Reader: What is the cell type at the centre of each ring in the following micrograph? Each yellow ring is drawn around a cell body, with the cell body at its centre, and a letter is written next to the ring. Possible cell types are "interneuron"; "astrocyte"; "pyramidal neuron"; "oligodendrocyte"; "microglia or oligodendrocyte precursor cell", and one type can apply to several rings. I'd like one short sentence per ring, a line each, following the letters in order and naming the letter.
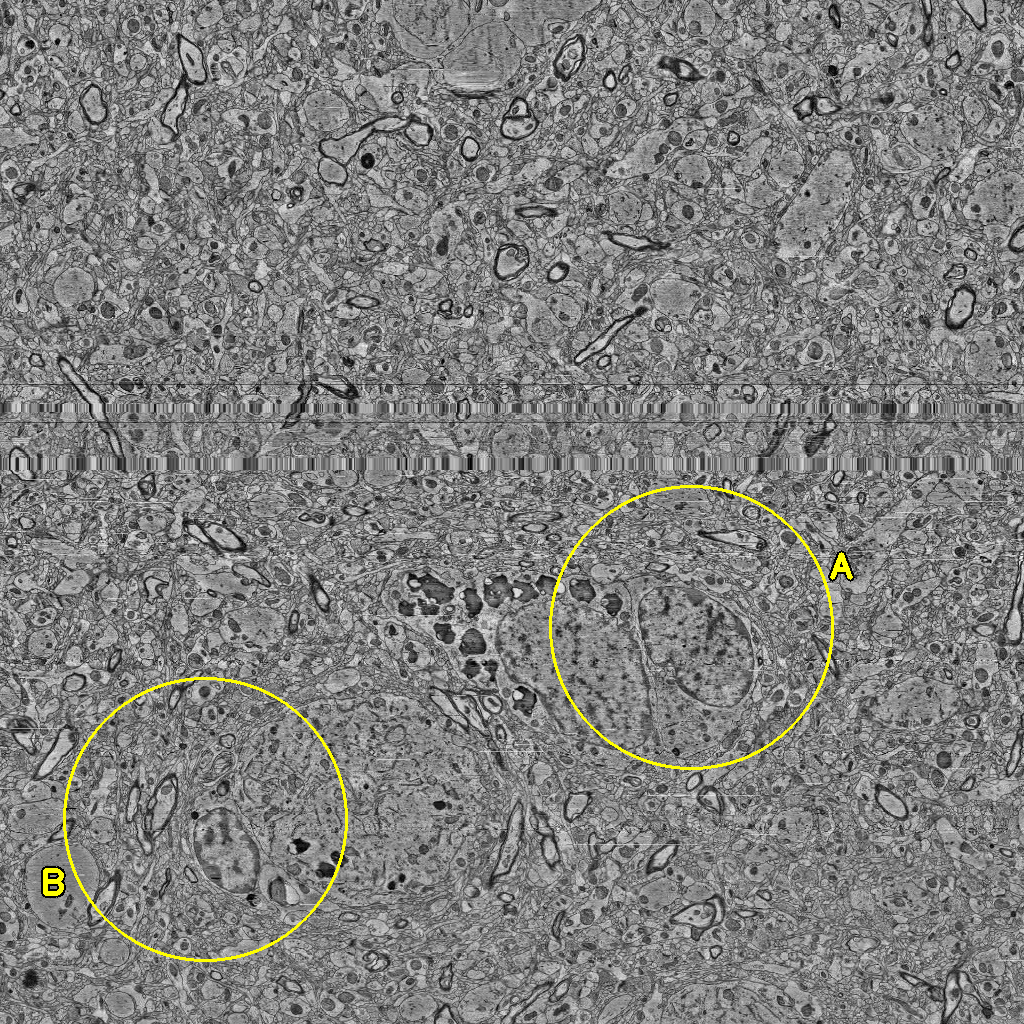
The cell body at the centre of ring A is that of a microglial cell or oligodendrocyte precursor cell.
The cell body at the centre of ring B is that of a microglial cell or oligodendrocyte precursor cell.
